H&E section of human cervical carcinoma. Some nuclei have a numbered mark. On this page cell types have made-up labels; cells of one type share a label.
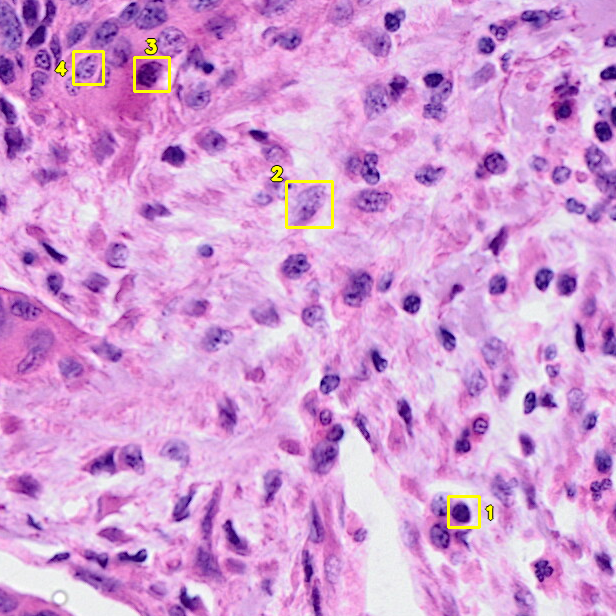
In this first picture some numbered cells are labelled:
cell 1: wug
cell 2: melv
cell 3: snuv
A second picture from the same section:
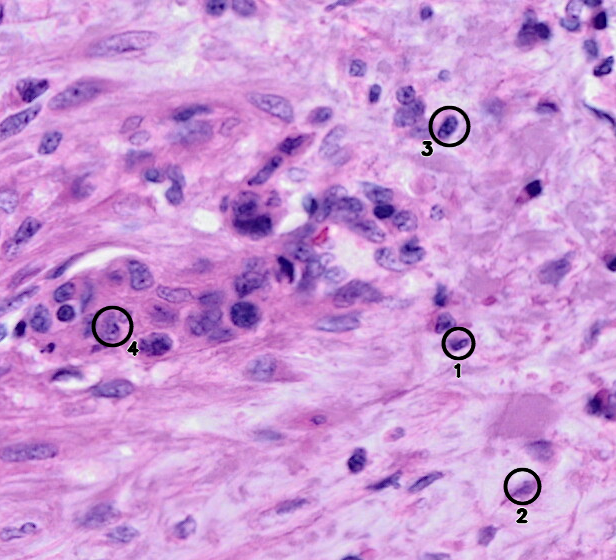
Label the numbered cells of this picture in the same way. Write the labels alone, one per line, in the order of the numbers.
wug
melv
wug
snuv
